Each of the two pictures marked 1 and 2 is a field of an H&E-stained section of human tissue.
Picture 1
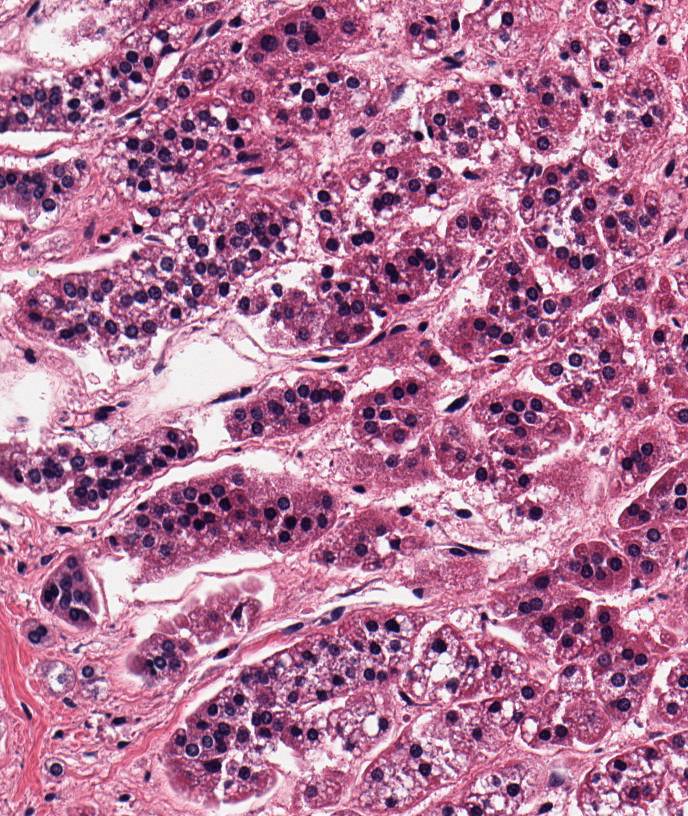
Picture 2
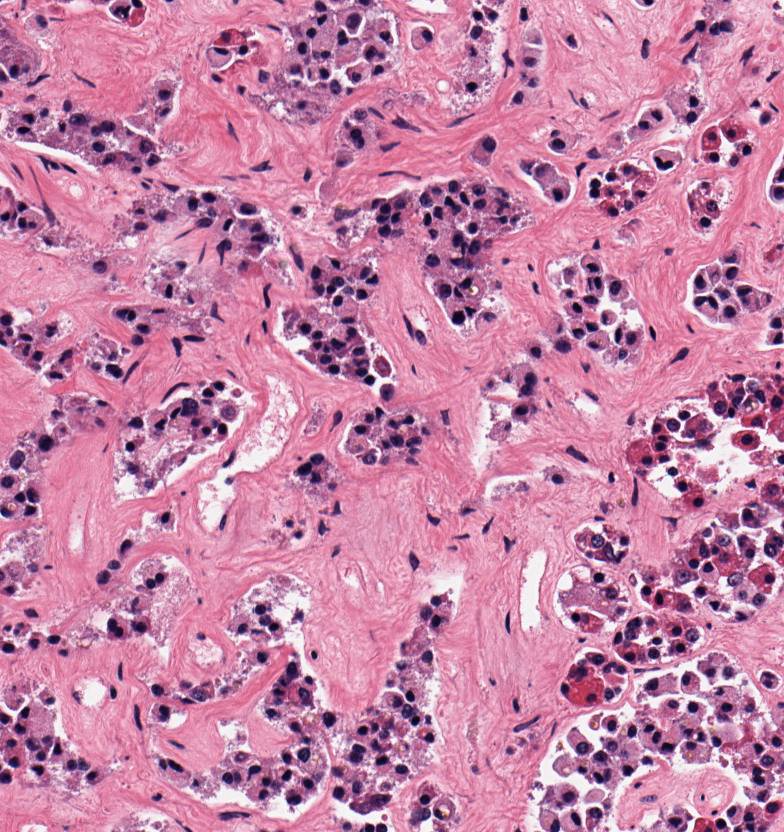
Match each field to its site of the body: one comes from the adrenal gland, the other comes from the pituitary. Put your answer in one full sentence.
Picture 2 comes from the pituitary, while picture 1 comes from the adrenal gland.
